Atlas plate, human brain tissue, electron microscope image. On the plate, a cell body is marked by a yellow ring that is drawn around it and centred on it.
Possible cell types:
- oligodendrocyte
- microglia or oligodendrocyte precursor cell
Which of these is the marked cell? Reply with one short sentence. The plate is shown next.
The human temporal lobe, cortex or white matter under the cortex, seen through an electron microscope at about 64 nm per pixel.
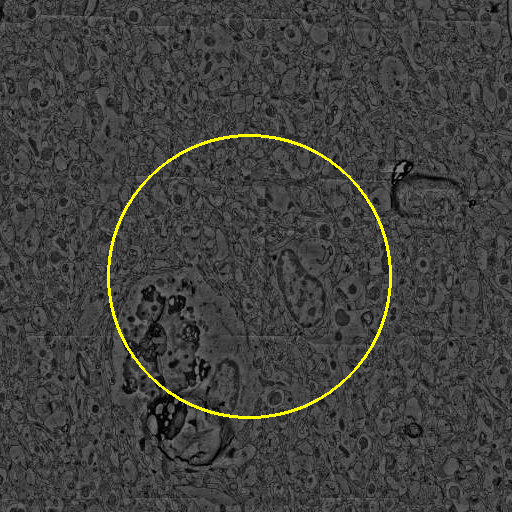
The marked cell is a microglial cell or oligodendrocyte precursor cell.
